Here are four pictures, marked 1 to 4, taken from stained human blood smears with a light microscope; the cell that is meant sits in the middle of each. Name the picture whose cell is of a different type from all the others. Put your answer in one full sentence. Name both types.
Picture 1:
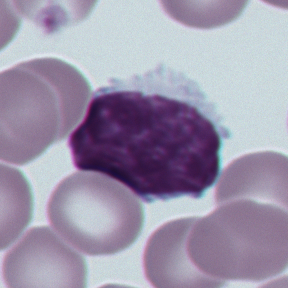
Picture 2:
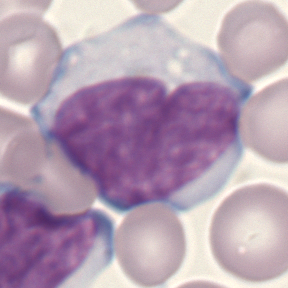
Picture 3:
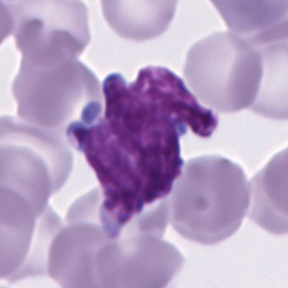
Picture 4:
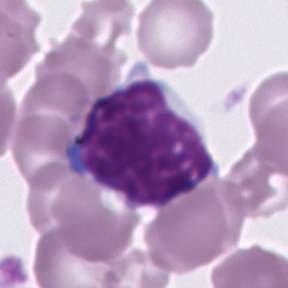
All pictures except 2 show typical lymphocytes; picture 2 shows a myeloblast.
